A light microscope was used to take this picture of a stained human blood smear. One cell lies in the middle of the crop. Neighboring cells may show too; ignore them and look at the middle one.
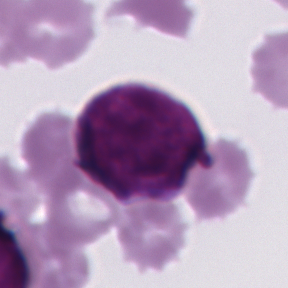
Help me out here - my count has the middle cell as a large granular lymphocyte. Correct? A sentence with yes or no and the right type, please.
No, the central cell is designated a myeloblast and not a large granular lymphocyte.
